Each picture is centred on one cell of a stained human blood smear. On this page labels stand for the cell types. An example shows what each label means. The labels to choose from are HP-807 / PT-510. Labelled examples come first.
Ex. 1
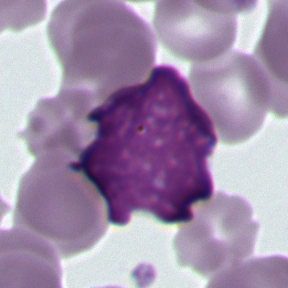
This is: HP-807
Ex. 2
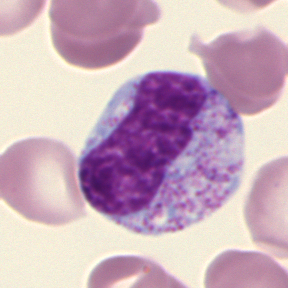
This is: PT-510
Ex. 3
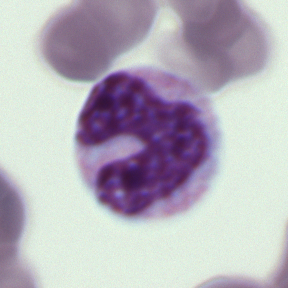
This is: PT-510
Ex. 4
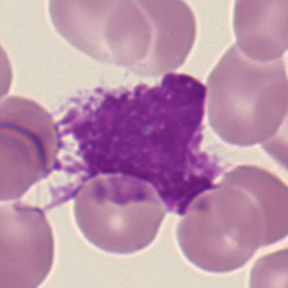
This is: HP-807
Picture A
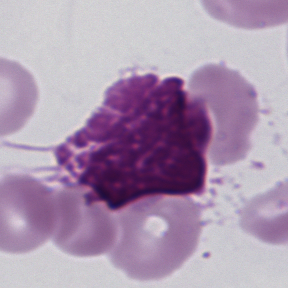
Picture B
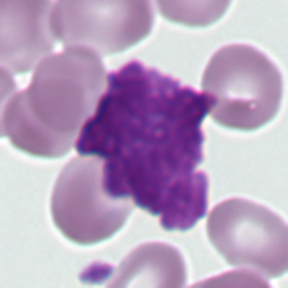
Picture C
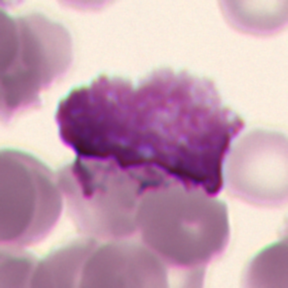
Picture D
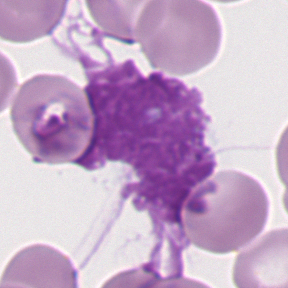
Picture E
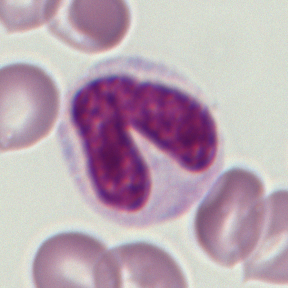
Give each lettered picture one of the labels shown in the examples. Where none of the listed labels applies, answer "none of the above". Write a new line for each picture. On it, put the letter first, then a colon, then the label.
A: HP-807
B: HP-807
C: HP-807
D: HP-807
E: PT-510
